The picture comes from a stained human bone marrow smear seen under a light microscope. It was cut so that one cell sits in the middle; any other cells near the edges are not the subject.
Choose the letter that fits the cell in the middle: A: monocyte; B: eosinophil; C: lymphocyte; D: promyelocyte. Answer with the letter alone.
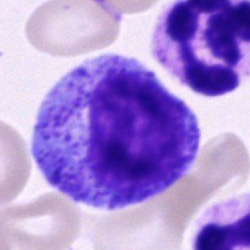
D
